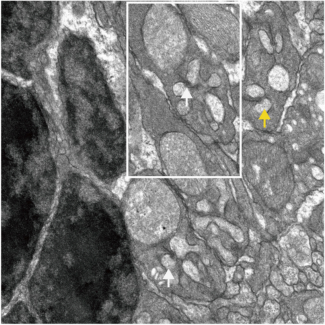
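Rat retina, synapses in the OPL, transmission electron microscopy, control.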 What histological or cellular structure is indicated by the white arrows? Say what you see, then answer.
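The white arrows point into dark terminal profiles with small pale invaginating processes. So: triads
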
